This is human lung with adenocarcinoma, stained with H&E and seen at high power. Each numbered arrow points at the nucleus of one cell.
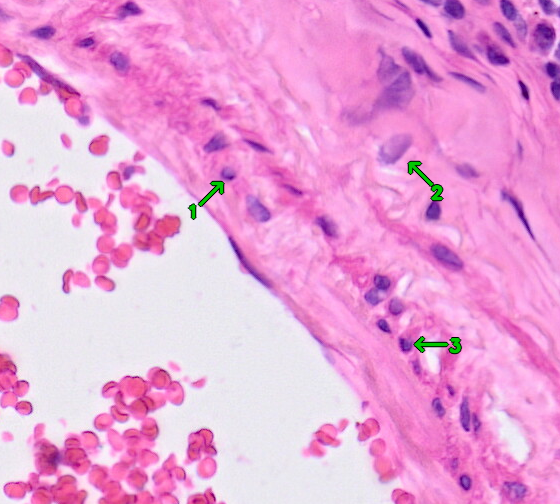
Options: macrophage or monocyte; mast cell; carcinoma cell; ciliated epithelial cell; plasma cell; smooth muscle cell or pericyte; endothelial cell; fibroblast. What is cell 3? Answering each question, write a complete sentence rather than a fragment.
Corresponding to a smooth muscle cell or pericyte is the cell labelled 3.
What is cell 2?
The marked cell bearing number 2 is a fibroblast.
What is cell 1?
The cell pointed out by number 1 is a smooth muscle cell or pericyte.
